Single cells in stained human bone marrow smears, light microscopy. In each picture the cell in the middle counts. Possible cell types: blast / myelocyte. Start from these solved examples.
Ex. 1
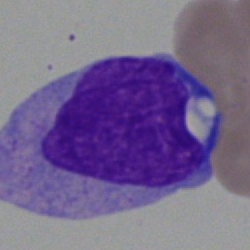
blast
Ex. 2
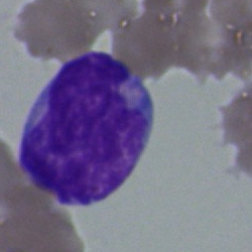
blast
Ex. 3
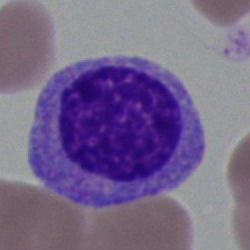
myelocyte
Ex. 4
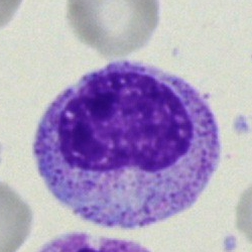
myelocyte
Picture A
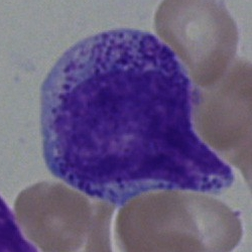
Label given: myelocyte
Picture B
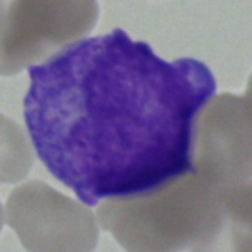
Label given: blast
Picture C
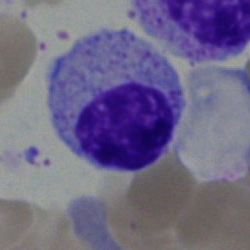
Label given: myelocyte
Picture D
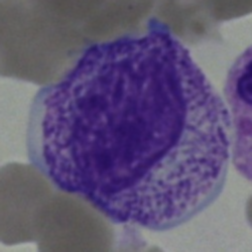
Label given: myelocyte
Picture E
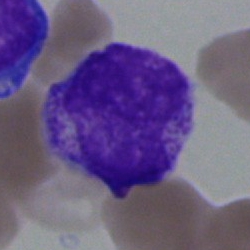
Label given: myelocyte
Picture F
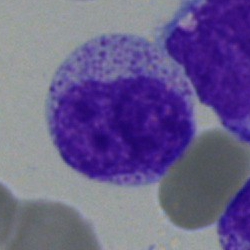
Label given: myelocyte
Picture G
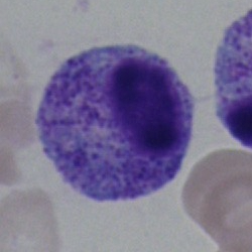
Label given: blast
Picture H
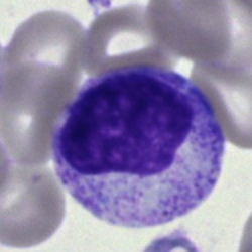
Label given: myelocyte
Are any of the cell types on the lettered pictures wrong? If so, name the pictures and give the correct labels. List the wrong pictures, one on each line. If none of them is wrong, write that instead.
G: myelocyte, not blast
